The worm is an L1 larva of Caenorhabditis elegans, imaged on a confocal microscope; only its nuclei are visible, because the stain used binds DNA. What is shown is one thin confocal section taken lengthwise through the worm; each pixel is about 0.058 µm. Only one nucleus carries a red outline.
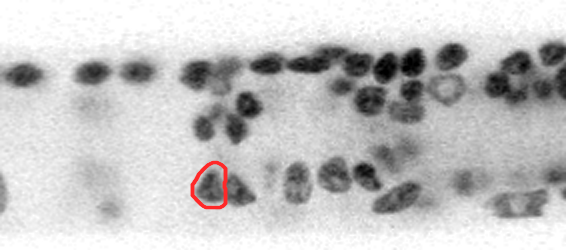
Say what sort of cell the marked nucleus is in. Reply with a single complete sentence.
The marked nucleus belongs to a valve cell of the gut.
